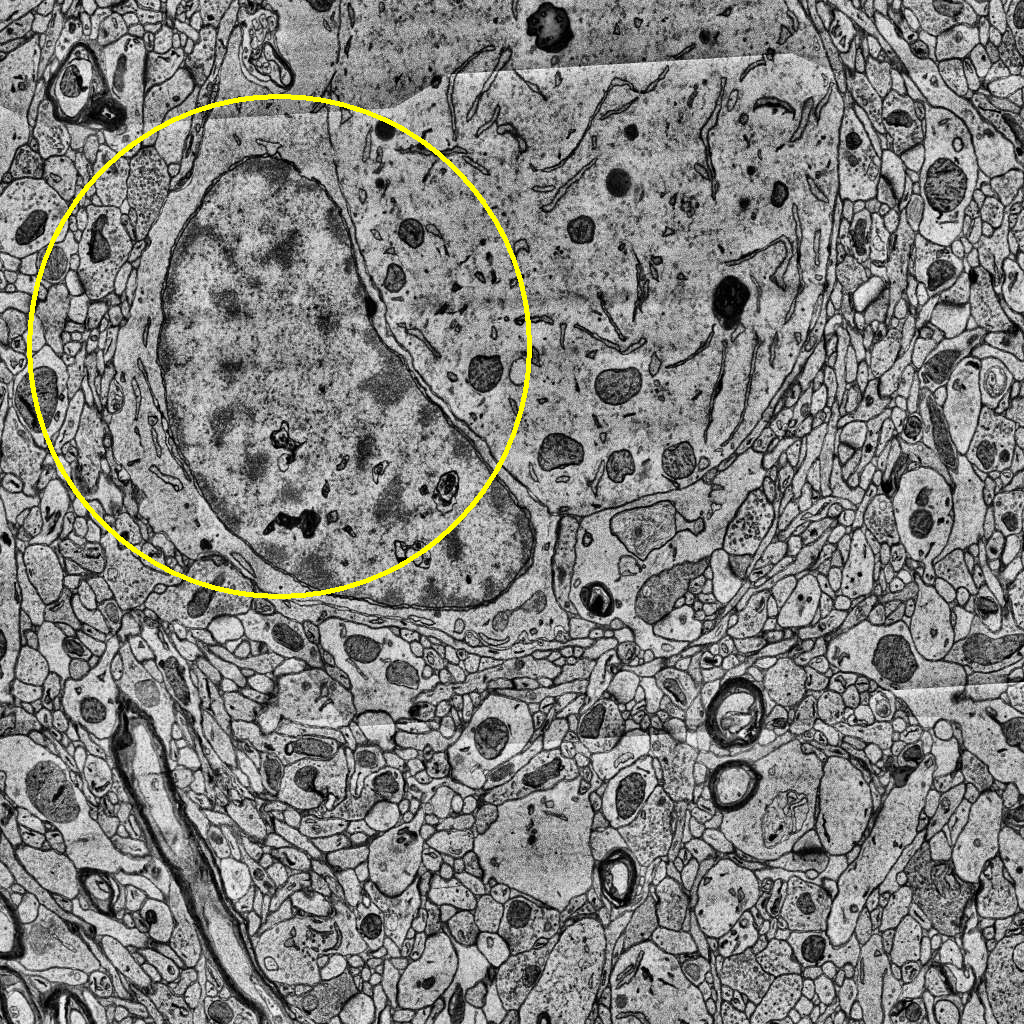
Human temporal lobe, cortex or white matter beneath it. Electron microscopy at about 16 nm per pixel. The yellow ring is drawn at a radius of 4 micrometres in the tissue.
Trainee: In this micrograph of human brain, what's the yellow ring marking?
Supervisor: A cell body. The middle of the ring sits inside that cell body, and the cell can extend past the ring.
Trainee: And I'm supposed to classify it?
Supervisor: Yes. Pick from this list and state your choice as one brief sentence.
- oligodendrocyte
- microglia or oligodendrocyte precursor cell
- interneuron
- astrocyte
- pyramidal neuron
The cell at the ring's center is a microglial cell or oligodendrocyte precursor cell.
